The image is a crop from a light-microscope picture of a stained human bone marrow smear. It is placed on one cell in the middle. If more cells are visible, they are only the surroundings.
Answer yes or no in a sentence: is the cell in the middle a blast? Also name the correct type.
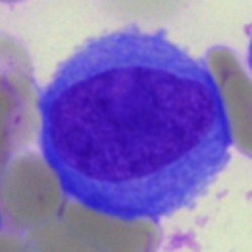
Yes, the one cell at the centre is a blast.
